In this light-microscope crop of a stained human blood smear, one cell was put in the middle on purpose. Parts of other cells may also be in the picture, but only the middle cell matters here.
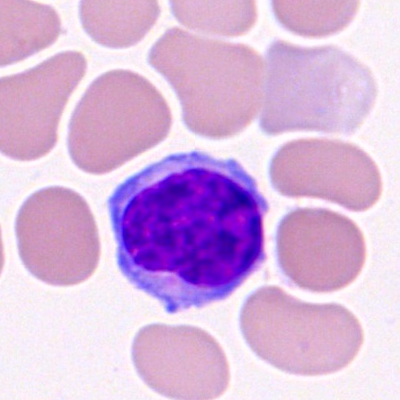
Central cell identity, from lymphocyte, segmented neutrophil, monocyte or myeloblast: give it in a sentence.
The cell in the middle of the field of view is a lymphocyte.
